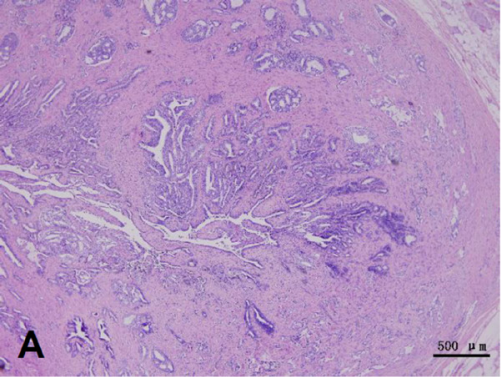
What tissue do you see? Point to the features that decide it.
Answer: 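Many glands of varying size and shape are scattered in pink stroma. On this evidence: irregular glands.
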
